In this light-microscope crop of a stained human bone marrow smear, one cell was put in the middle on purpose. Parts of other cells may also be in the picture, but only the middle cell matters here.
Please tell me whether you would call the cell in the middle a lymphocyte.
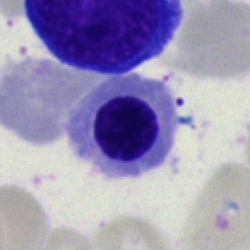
no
